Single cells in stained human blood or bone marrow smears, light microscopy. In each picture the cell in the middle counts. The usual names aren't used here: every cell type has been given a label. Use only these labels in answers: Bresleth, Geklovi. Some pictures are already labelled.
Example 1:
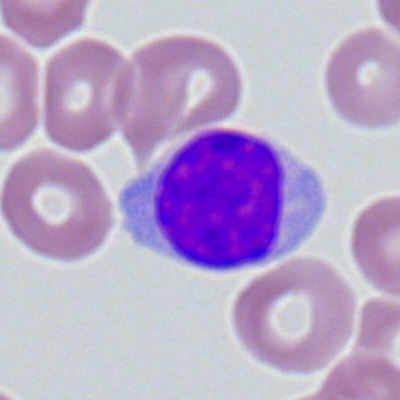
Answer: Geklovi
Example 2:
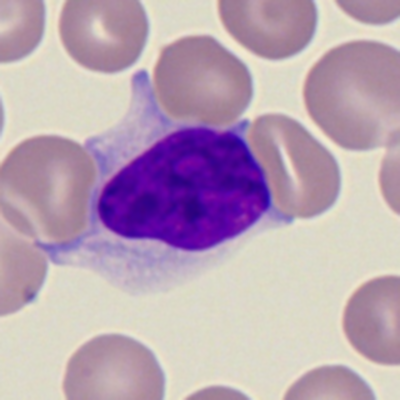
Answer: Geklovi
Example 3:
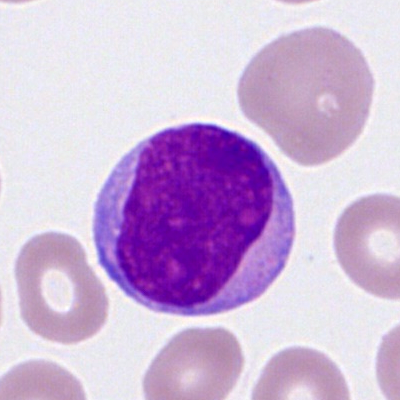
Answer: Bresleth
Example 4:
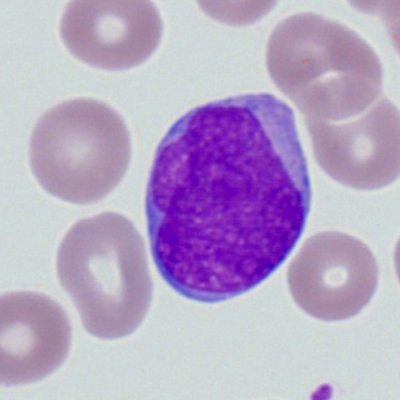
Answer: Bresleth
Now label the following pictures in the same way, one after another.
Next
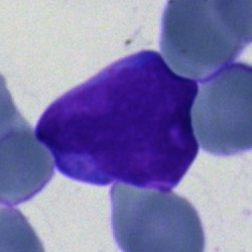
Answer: Bresleth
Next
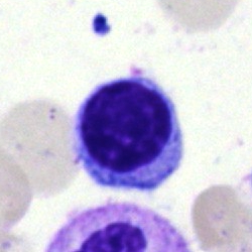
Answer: Geklovi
